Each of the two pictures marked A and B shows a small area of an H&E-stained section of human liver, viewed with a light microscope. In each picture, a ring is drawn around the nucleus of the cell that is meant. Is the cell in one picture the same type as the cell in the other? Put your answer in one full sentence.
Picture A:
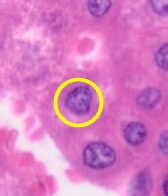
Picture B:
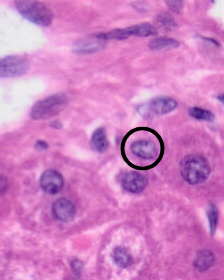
No; the cell in picture A is a hepatocyte, while the one in picture B is a cholangiocyte.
